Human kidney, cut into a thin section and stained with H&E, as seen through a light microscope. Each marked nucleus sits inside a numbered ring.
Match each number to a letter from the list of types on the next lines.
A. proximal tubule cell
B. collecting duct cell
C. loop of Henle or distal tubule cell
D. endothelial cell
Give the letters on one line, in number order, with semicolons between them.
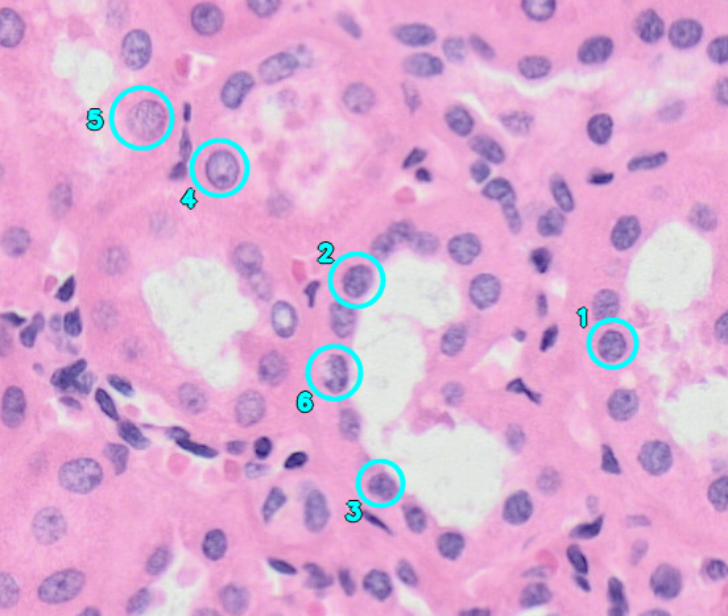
C; C; C; A; A; C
